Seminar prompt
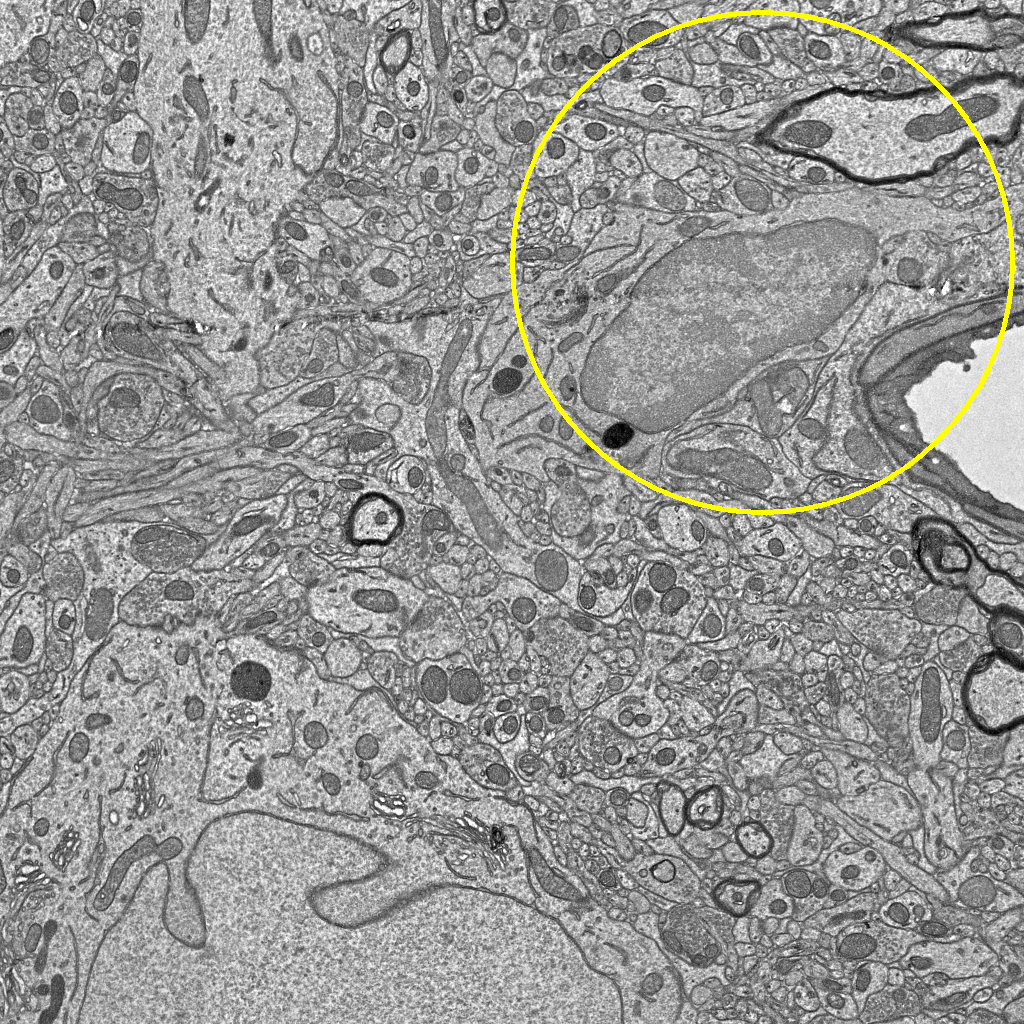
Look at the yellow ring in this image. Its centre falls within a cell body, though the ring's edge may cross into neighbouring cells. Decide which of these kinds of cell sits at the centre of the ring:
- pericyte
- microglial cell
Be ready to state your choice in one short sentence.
The kind of cell at the ring's centre is a microglial cell.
